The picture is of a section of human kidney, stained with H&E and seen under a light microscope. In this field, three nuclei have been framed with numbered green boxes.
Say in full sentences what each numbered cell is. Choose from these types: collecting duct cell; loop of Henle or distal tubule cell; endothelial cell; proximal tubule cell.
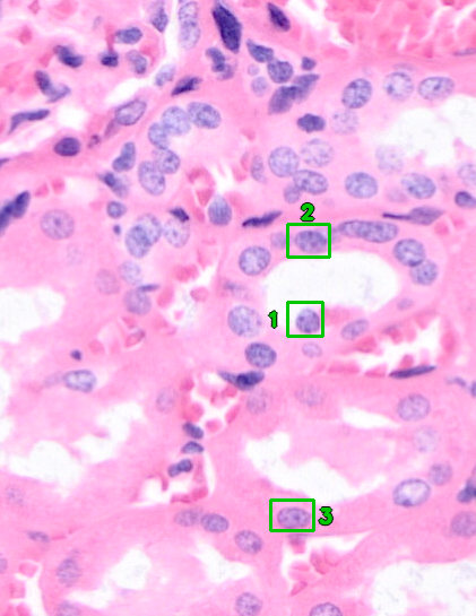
Cell 1 is a collecting duct cell, cell 2 is a collecting duct cell and cell 3 is a proximal tubule cell.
